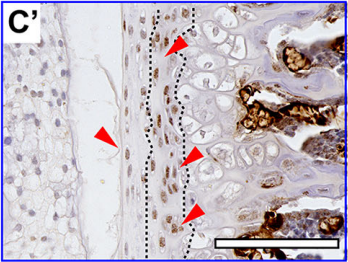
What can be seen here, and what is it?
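This view crosses from the central core of the disc on the left through the endplate into the growth plate on the right. Left of the dotted lines lie loose, pale cells of the disc core. The endplate and the narrow band beyond it hold small, flattened chondrocytes, many of which have brown-stained nuclei. Further right the chondrocytes are large and swollen with clear lacunae, and beyond them dark brown clumps lie in the bone-forming region at the right edge.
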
